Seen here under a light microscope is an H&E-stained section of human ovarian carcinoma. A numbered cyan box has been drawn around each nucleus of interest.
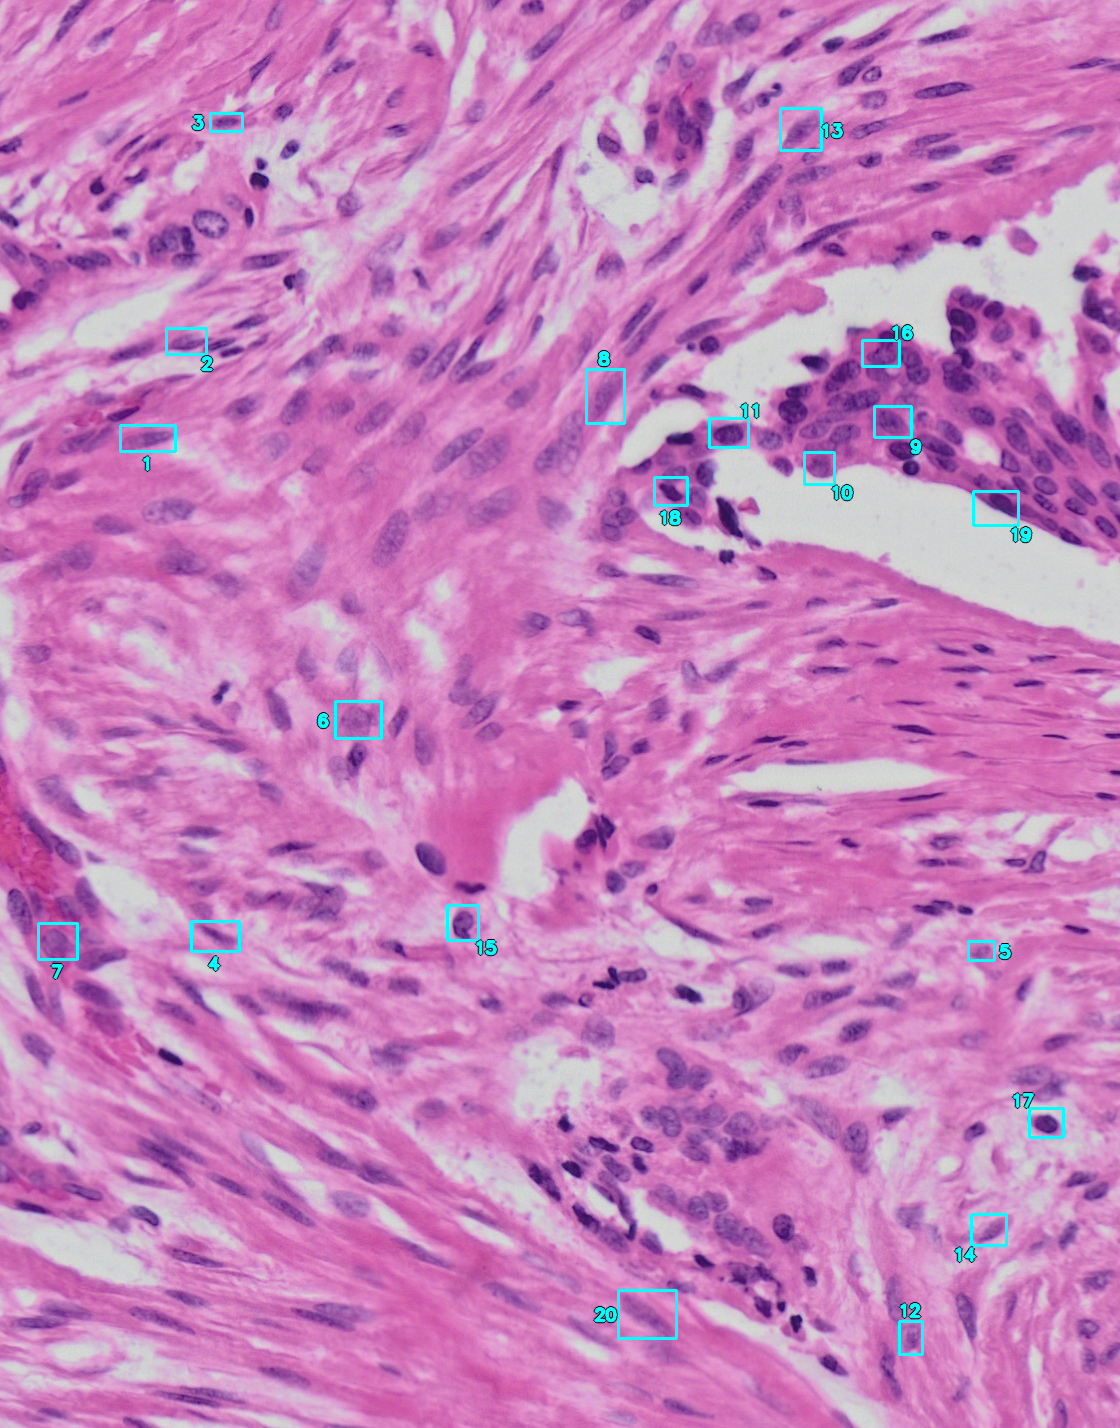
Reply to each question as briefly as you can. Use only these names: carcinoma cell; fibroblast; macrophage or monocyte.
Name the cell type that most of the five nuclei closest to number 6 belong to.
fibroblast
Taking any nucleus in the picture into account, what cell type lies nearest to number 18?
carcinoma cell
